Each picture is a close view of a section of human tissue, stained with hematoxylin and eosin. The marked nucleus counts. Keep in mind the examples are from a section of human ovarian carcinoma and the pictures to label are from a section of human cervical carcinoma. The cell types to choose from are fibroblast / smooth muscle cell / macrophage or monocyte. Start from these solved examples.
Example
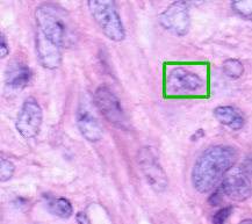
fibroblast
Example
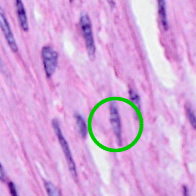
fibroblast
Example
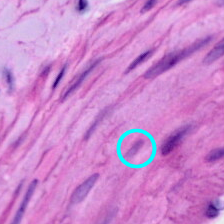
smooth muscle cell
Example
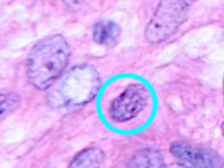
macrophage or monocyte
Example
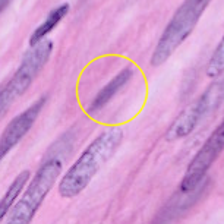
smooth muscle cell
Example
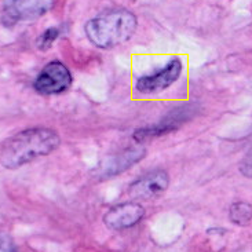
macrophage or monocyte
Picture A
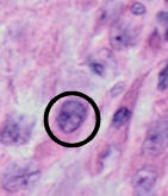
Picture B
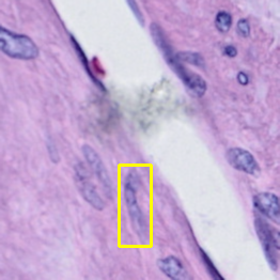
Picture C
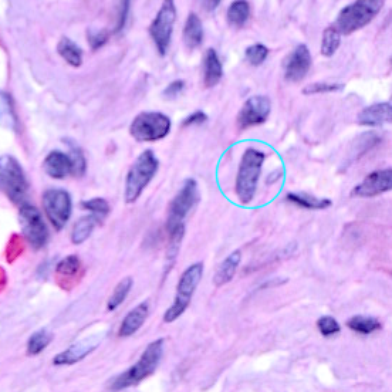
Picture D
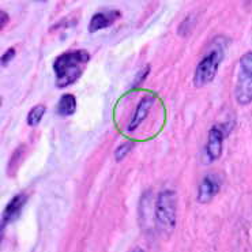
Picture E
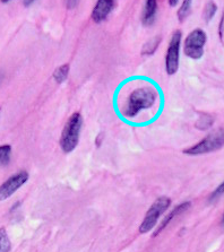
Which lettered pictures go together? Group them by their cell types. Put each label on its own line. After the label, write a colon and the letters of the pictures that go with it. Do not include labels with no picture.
fibroblast: C, E
smooth muscle cell: B, D
macrophage or monocyte: A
